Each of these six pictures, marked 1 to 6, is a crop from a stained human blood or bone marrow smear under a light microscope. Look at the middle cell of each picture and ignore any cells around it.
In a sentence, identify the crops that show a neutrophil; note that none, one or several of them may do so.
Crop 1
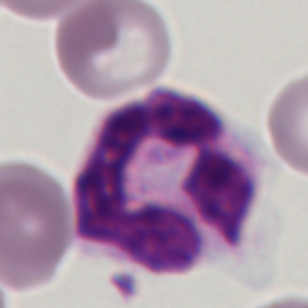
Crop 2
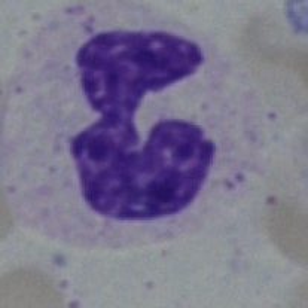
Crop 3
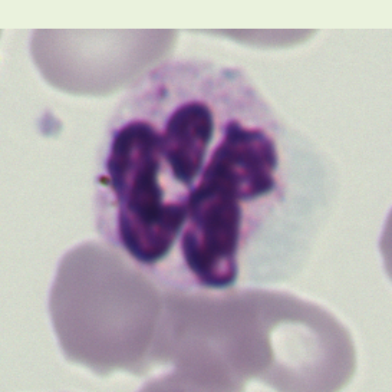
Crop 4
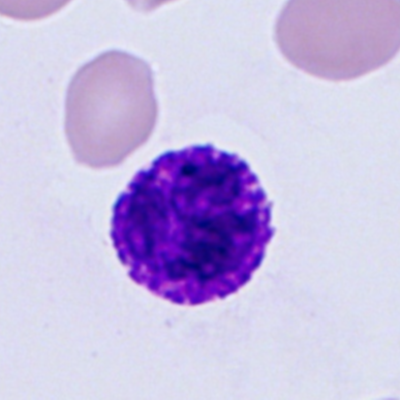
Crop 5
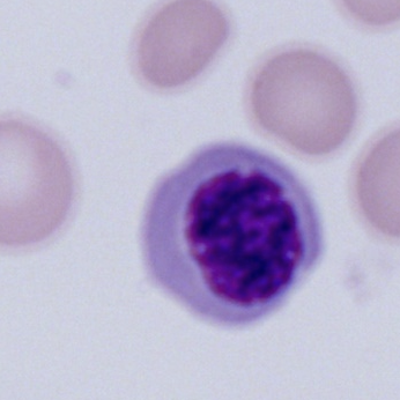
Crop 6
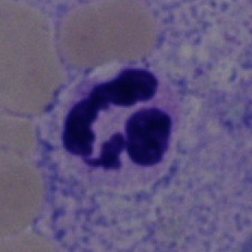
Crops 1, 2, 3 and 6 show neutrophils at their centres.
